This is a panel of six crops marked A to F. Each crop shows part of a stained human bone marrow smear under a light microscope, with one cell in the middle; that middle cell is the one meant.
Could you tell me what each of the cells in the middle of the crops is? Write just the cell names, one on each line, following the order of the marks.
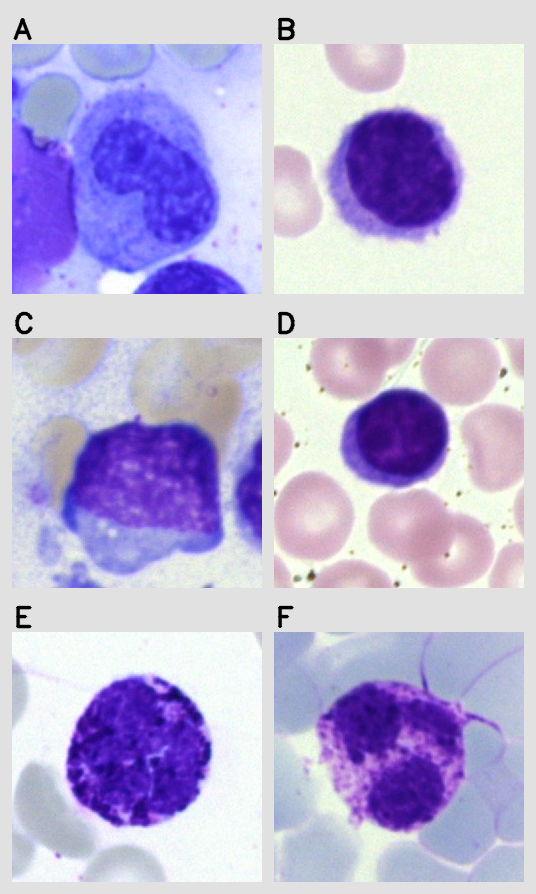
metamyelocyte
hairy cell
blast
lymphocyte
basophil
basophil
